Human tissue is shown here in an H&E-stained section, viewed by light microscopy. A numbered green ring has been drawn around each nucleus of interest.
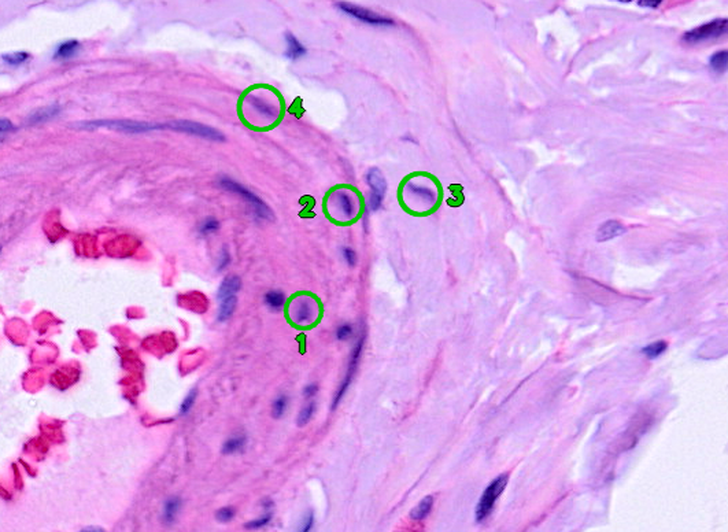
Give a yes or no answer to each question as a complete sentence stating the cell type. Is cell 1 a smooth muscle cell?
Yes, that is correct: the cell numbered 1 is a smooth muscle cell.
